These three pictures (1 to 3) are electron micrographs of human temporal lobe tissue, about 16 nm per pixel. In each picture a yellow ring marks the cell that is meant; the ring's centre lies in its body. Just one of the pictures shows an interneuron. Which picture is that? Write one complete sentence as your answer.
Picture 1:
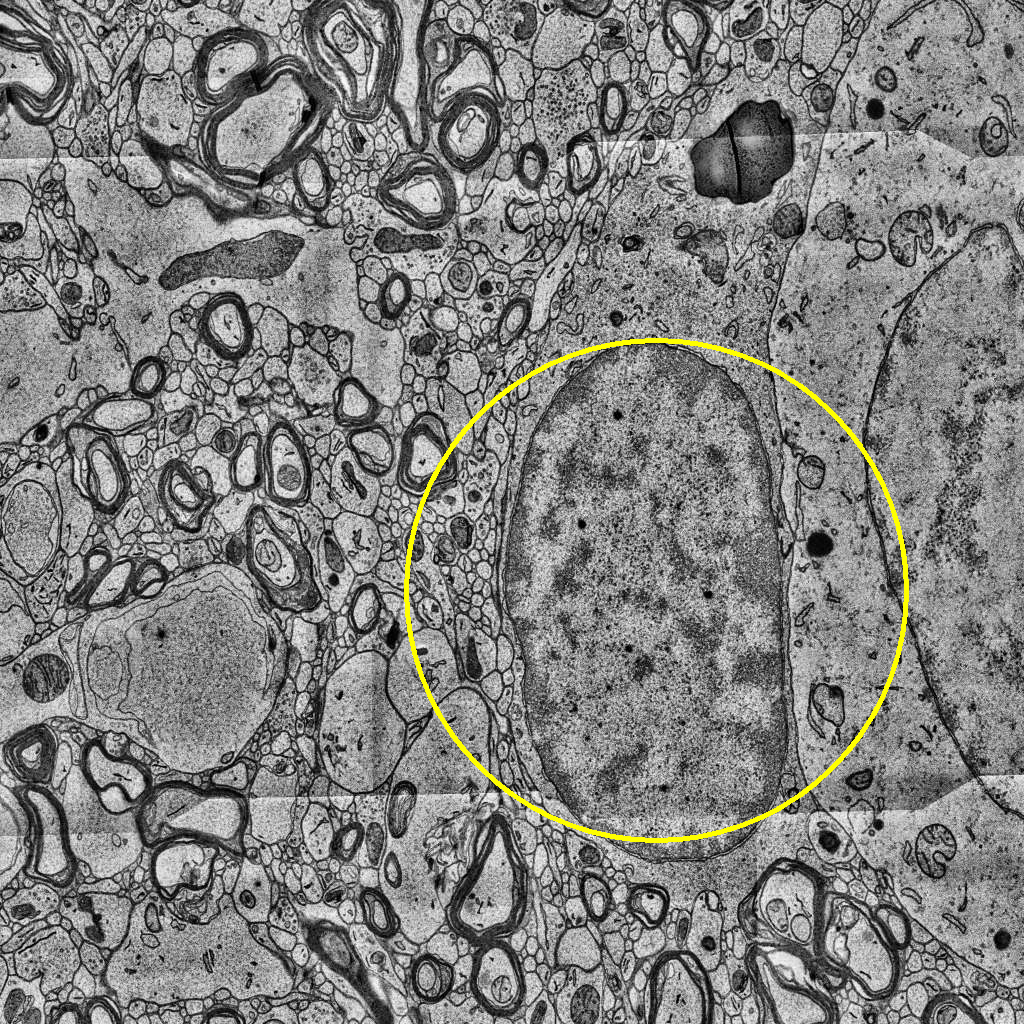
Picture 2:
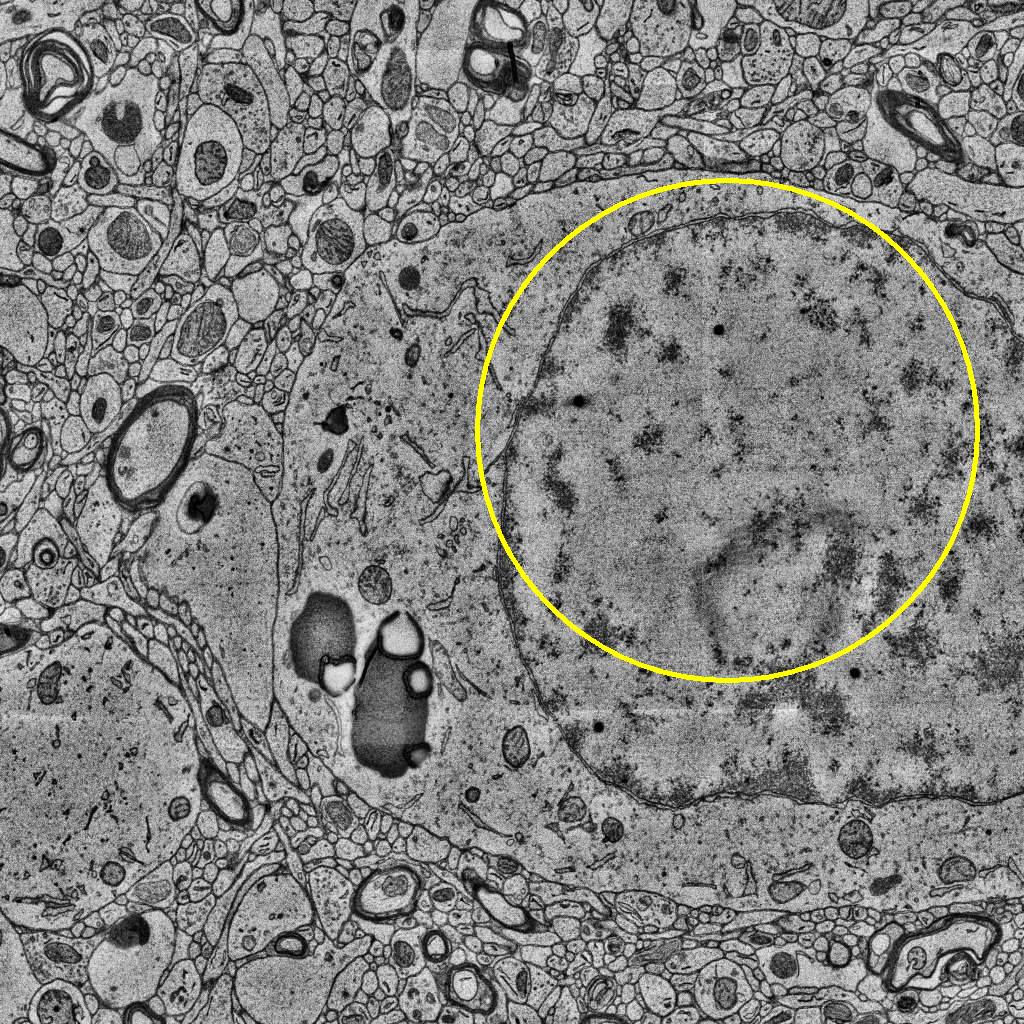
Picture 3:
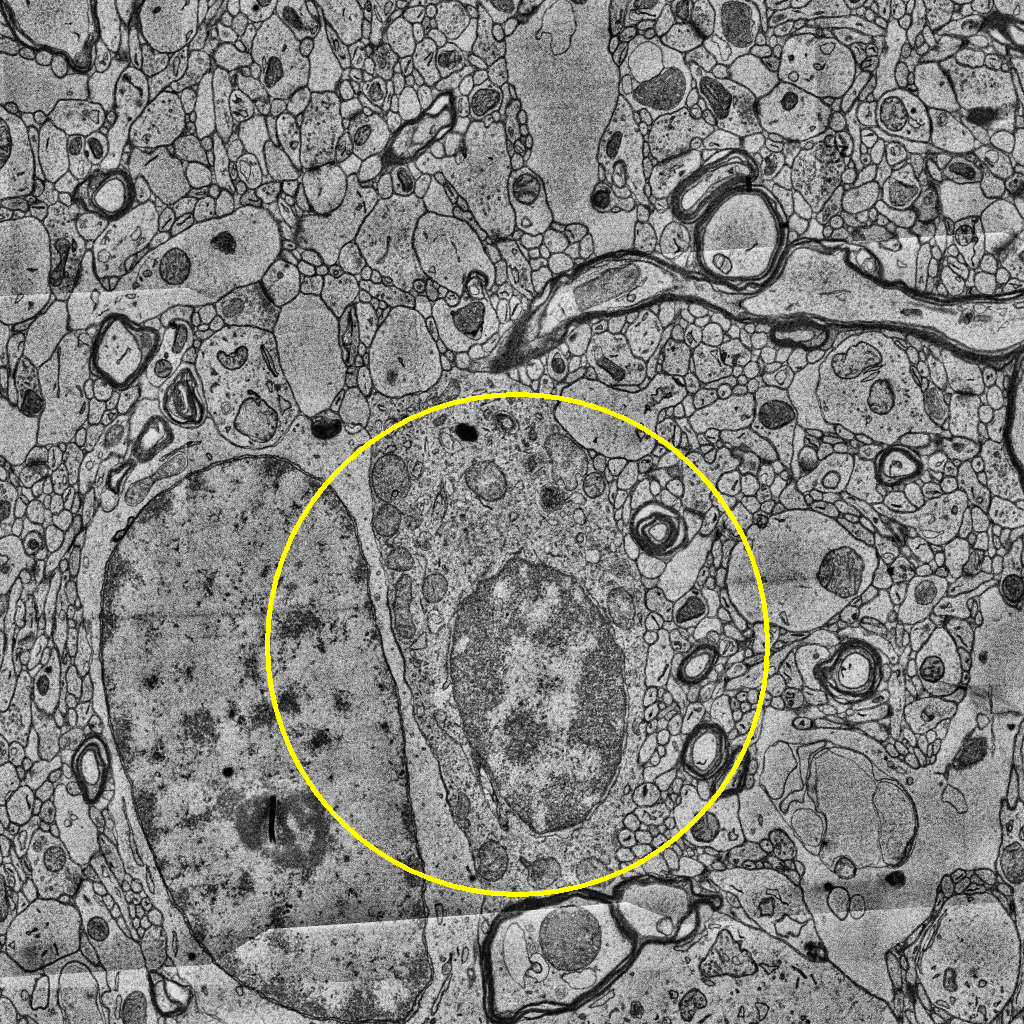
The picture with the interneuron is 2.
